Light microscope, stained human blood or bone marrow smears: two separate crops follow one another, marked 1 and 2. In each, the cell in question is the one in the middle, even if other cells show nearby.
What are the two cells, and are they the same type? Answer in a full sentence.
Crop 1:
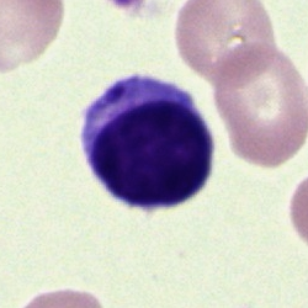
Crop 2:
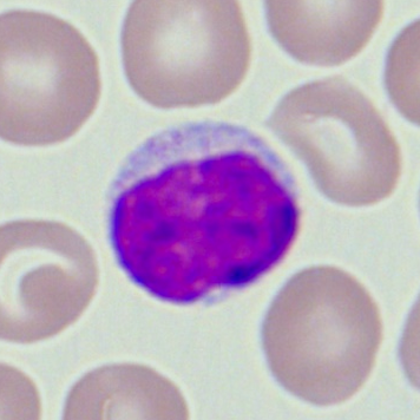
Yes, the cells under consideration in both crops are lymphocytes.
